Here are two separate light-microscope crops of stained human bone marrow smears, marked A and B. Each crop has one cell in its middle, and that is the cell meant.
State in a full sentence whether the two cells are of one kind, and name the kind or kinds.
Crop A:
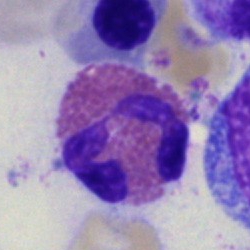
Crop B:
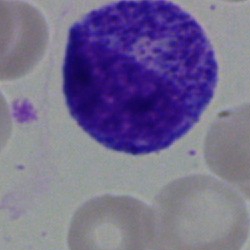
No, crop A contains an eosinophil; a myelocyte is what crop B contains.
